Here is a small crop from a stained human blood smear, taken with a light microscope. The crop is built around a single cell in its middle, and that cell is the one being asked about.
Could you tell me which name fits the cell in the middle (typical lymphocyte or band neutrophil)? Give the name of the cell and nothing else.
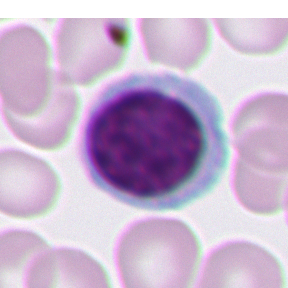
typical lymphocyte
